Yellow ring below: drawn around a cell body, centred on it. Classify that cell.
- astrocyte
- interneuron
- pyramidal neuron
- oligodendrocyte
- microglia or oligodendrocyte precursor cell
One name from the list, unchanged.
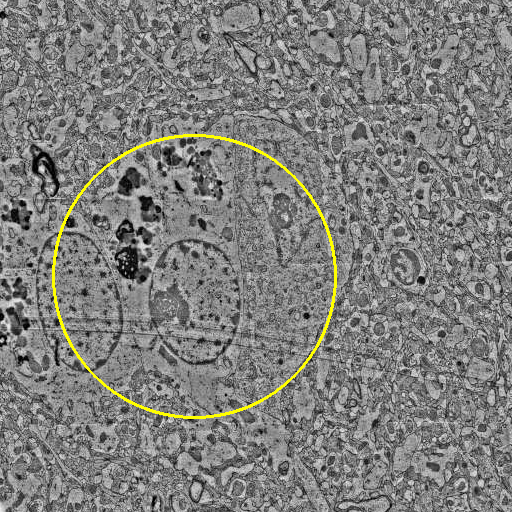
astrocyte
